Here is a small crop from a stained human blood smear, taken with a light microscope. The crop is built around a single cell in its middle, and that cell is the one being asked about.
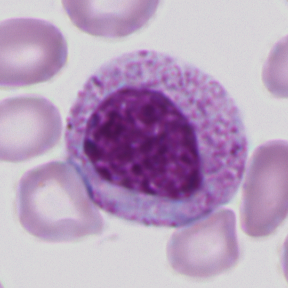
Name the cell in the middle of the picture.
myelocyte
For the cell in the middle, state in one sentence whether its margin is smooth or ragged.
Happy to help: the outline is smooth and shows no projections.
